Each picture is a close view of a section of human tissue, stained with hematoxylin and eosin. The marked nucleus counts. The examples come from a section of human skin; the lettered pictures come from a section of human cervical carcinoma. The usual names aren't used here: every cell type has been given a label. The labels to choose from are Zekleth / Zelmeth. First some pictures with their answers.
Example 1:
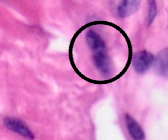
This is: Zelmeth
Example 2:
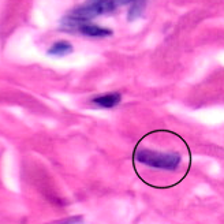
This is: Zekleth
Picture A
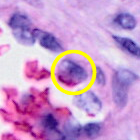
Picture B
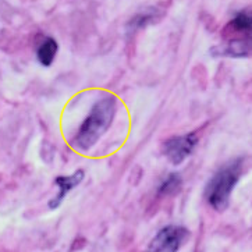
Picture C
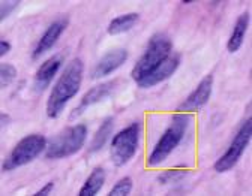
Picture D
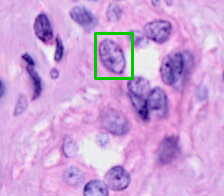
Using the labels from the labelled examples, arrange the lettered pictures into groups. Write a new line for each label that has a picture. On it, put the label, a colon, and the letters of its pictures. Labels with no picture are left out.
Zekleth: B, C
Zelmeth: A, D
